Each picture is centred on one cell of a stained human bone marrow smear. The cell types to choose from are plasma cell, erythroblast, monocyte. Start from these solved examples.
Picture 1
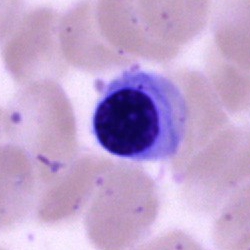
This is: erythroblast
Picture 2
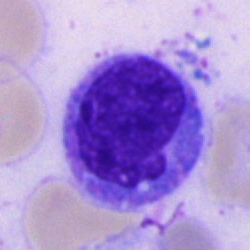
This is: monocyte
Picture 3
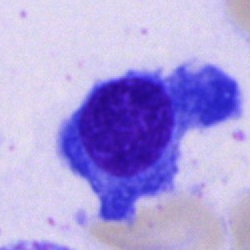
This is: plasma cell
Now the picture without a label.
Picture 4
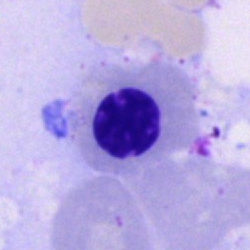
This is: erythroblast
